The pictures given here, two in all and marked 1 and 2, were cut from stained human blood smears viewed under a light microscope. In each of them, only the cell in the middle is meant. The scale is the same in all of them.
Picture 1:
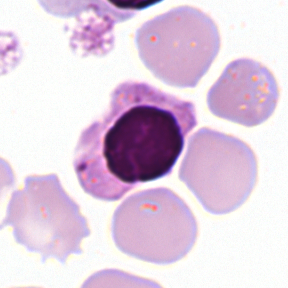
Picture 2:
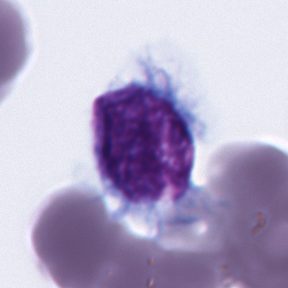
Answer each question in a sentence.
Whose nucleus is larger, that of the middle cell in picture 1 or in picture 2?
Larger is the nucleus in picture 2, at roughly 2 times the area of the other.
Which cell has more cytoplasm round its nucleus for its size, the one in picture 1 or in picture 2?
Of the two, the nucleus in picture 1 leaves more room for cytoplasm.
